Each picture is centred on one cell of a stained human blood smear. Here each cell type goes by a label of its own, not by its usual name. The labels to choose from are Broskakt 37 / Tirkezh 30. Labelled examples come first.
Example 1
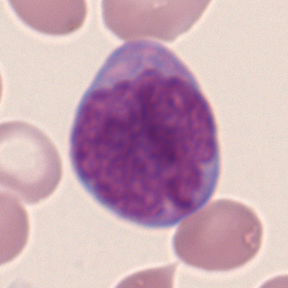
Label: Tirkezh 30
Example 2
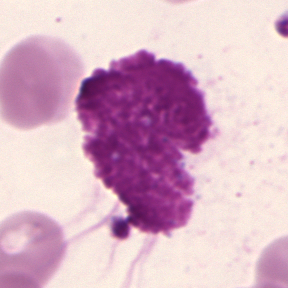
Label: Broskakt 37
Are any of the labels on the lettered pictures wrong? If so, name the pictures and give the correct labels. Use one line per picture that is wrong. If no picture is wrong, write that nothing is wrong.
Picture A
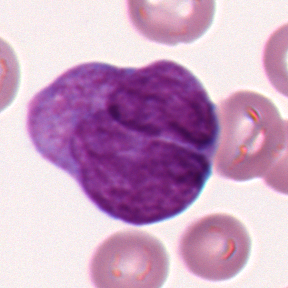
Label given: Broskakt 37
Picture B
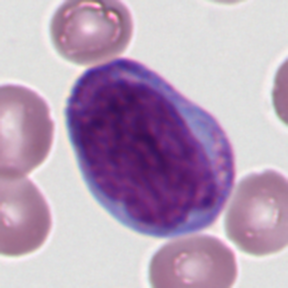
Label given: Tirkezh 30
A: change Broskakt 37 to Tirkezh 30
